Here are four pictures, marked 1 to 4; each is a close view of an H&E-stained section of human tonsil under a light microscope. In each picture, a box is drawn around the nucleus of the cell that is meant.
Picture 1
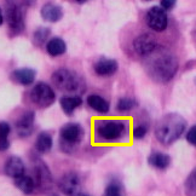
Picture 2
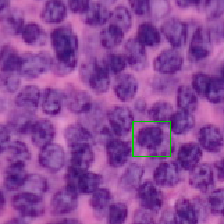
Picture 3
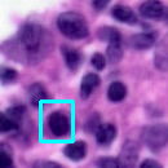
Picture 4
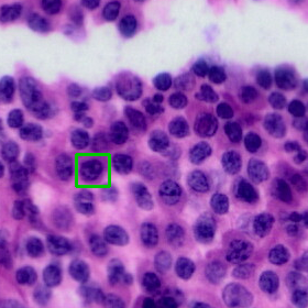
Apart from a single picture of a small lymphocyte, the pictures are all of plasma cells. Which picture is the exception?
2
